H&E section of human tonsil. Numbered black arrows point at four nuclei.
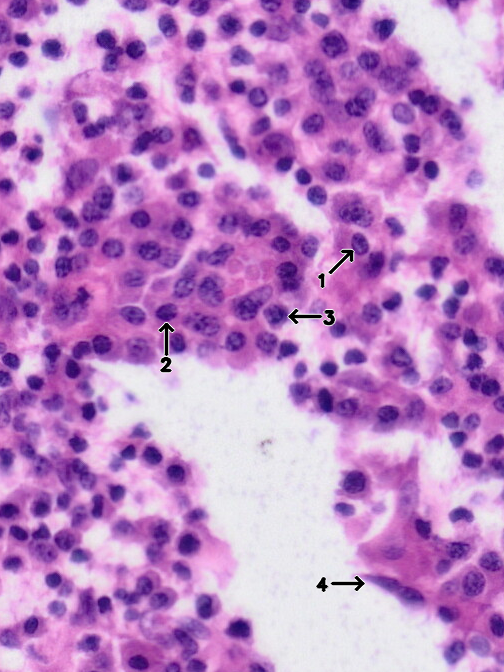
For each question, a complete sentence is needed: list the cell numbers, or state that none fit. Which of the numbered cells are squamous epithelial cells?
Among the numbered nuclei, only the one labelled 4 belongs to a squamous epithelial cell.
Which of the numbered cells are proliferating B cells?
Sorry, but none of the numbered cells are proliferating B cells.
